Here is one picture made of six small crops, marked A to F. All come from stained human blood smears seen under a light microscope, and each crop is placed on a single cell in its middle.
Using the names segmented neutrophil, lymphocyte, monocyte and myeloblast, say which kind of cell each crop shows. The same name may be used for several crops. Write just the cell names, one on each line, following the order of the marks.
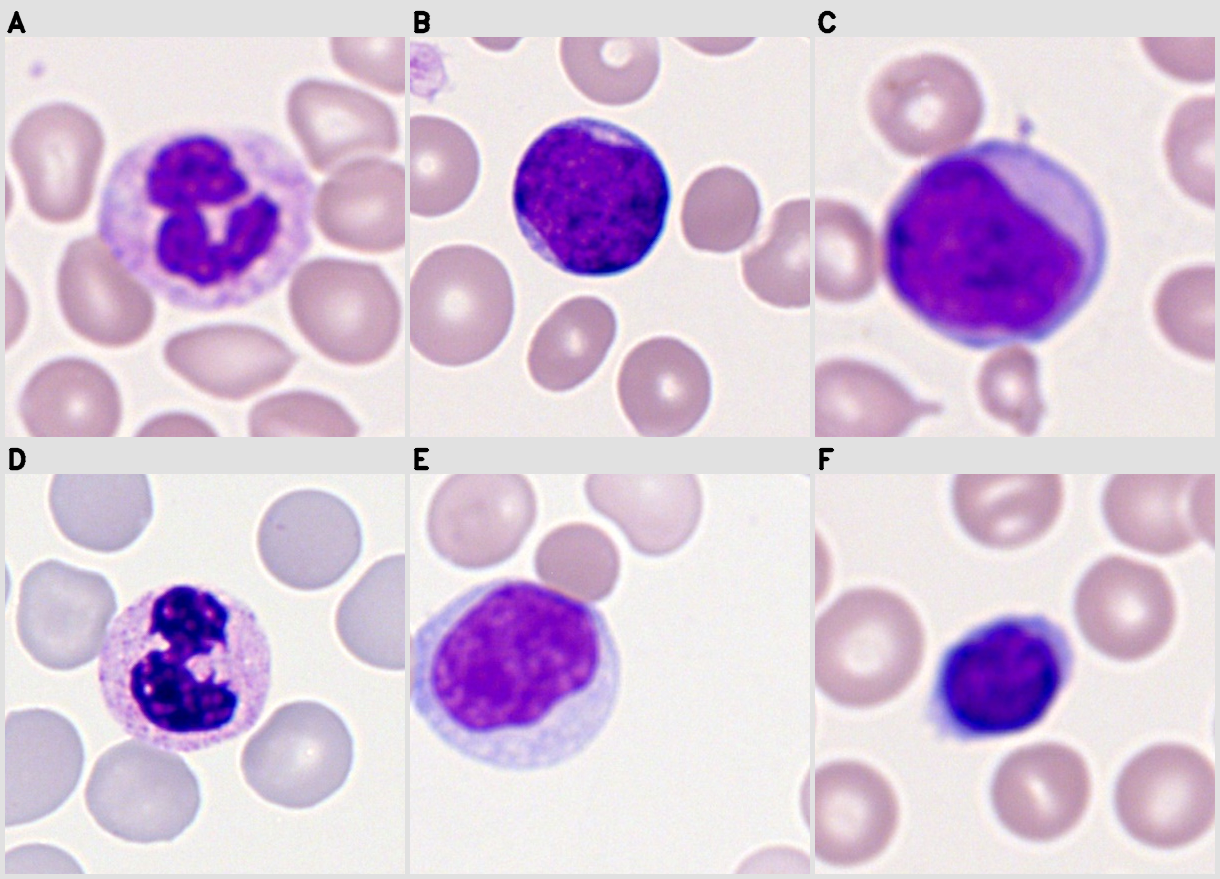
segmented neutrophil
myeloblast
myeloblast
segmented neutrophil
lymphocyte
lymphocyte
